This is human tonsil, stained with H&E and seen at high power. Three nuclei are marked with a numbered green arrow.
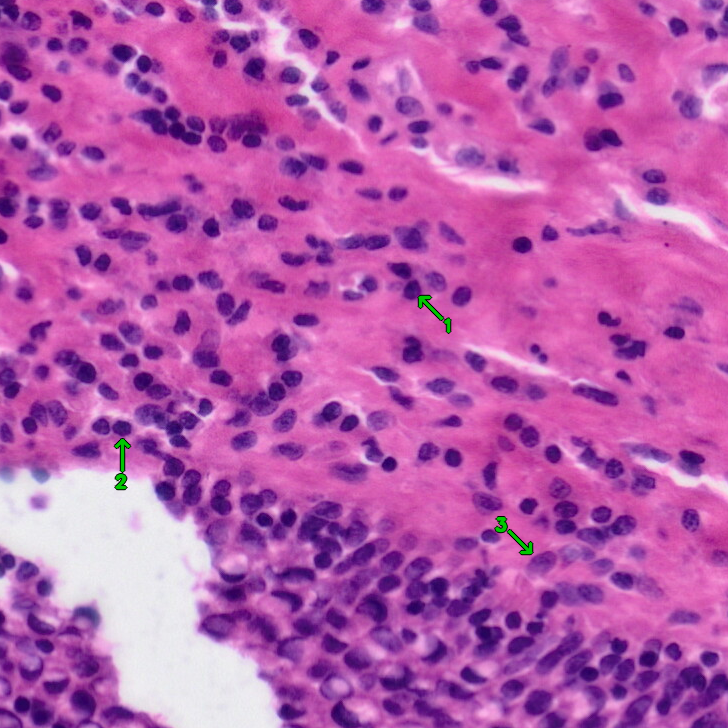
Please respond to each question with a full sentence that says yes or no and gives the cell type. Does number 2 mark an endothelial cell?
No, cell number 2 is a plasma cell; it is not an endothelial cell.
